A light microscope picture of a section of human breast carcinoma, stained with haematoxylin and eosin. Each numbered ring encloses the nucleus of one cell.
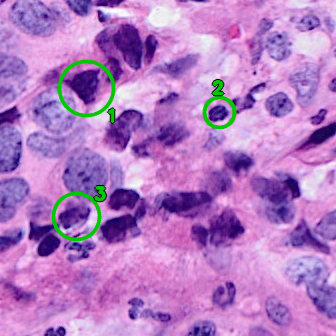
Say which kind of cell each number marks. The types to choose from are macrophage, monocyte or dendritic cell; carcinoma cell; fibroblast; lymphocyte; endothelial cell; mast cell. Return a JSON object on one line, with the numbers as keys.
{"1": "carcinoma cell", "2": "lymphocyte", "3": "carcinoma cell"}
